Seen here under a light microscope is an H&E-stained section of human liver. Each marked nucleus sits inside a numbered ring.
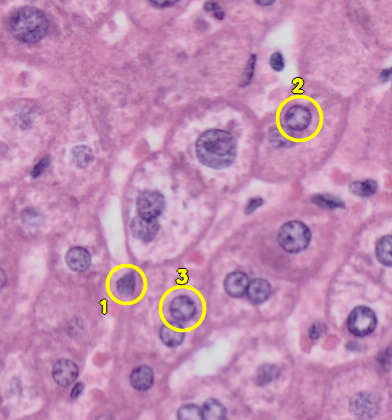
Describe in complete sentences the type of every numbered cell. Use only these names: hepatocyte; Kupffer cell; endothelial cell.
Cell 1 is an endothelial cell, cell 2 is a hepatocyte and cell 3 is a hepatocyte.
